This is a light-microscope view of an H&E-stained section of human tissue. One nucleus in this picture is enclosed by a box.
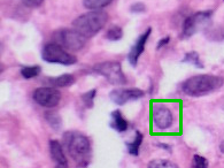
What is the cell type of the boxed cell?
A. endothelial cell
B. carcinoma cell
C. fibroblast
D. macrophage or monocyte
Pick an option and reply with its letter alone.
D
